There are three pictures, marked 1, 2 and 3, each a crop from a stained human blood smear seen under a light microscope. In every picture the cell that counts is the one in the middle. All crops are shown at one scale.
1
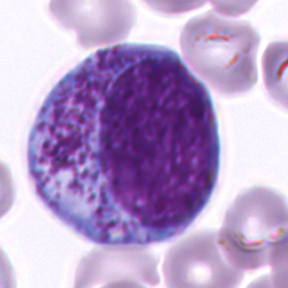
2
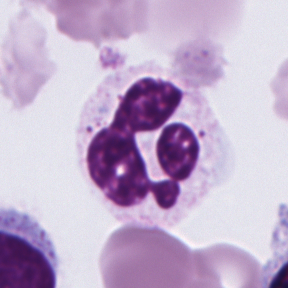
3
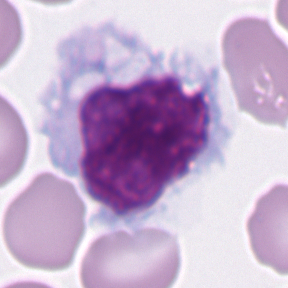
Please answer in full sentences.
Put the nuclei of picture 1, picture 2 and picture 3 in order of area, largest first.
From the largest down, the order is 1, 3, 2.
